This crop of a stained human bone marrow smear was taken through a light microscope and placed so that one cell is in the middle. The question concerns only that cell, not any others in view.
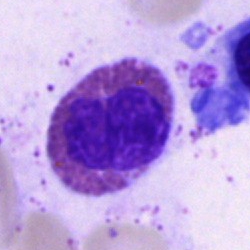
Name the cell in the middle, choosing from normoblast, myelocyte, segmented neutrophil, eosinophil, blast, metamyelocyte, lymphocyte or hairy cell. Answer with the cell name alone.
eosinophil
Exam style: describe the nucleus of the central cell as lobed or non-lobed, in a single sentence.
A single compact nucleus, round, oval or kidney-shaped, is what this cell shows.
